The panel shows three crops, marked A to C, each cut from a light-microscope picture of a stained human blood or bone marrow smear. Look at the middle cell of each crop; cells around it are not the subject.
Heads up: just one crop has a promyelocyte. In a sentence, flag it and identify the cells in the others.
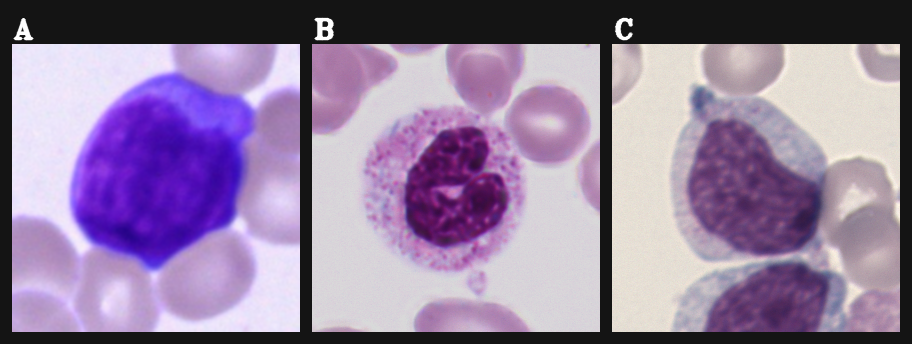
The cell centred in crop C is a promyelocyte; by contrast, crop A is a blast and crop B is a band neutrophil.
